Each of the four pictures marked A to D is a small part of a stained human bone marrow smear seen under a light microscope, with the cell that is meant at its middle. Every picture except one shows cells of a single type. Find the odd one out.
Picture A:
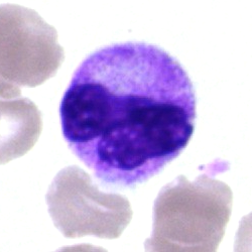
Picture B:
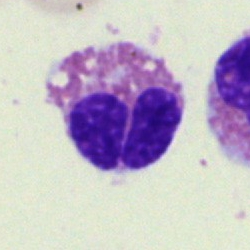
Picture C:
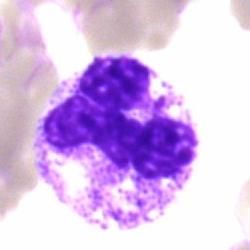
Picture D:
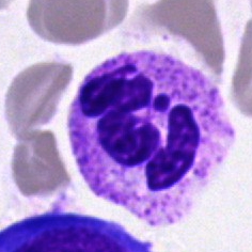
B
